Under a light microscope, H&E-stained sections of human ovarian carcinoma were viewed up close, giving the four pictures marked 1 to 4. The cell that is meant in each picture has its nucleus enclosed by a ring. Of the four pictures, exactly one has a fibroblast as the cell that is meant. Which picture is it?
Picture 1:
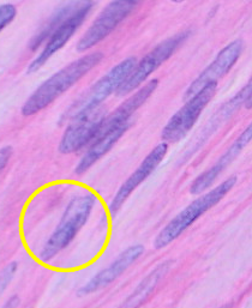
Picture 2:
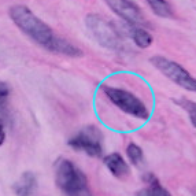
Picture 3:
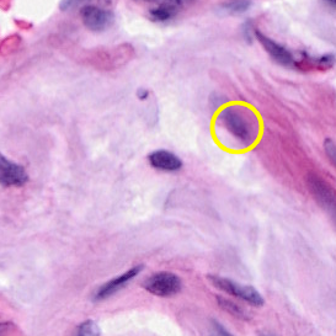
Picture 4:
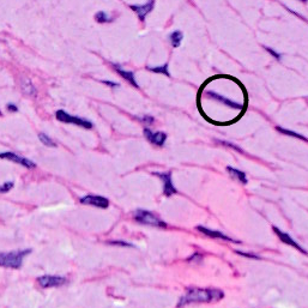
4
